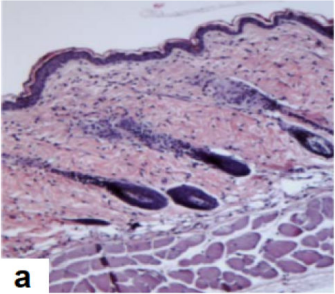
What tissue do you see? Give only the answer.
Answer: skin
